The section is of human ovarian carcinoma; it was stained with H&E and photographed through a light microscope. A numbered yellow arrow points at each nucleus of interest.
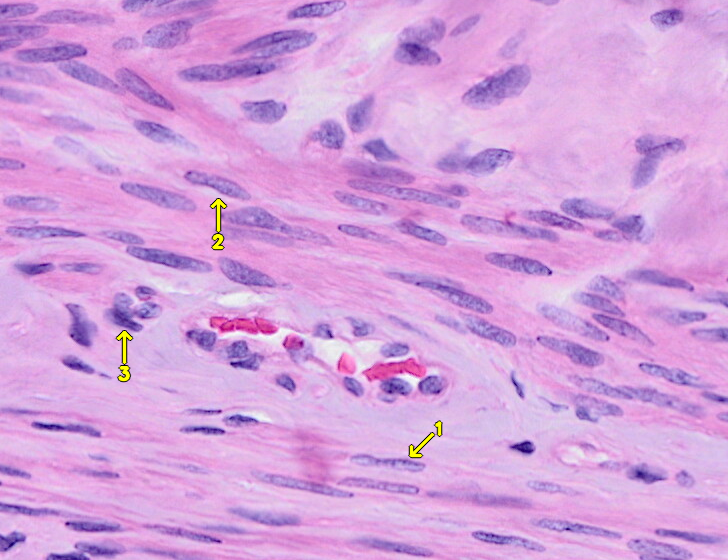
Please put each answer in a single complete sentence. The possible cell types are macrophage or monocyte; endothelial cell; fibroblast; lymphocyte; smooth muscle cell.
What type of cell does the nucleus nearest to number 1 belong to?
The nearest nucleus to number 1 belongs to a smooth muscle cell.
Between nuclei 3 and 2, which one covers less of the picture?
Nucleus 3 is the smaller one; nucleus 2 covers about 1.5 times its area.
